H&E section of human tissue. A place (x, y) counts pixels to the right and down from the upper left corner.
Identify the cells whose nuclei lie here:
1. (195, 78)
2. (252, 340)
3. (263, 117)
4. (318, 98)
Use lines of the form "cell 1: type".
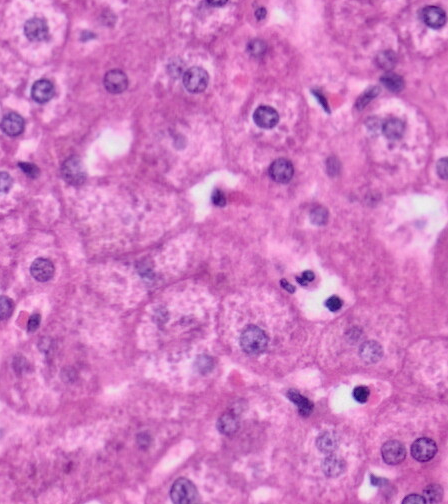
cell 1: hepatocyte
cell 2: hepatocyte
cell 3: hepatocyte
cell 4: endothelial cell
